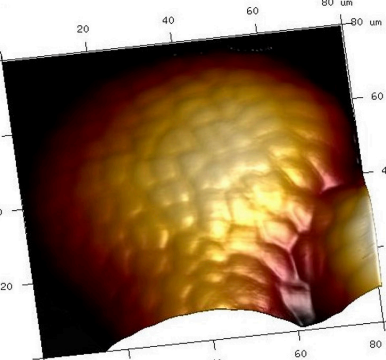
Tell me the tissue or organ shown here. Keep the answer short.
Meristem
